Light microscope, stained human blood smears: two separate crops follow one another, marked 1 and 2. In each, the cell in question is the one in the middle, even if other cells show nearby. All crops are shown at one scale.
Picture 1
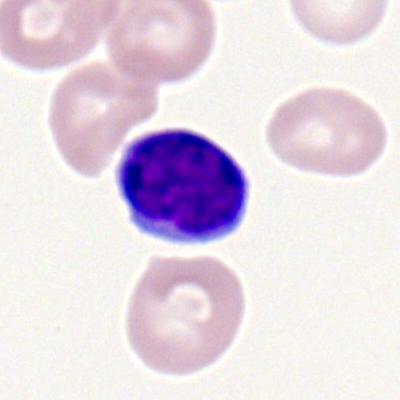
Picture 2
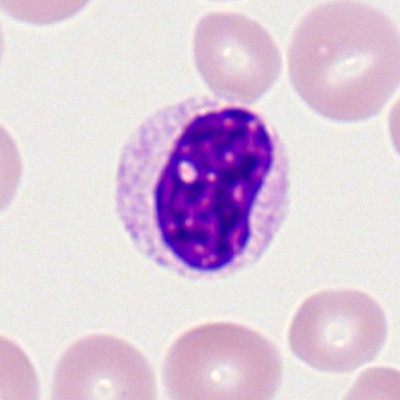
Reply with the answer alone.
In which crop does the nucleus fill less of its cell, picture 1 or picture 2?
2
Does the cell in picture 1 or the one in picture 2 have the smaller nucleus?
1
